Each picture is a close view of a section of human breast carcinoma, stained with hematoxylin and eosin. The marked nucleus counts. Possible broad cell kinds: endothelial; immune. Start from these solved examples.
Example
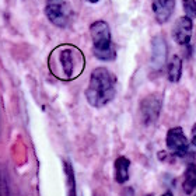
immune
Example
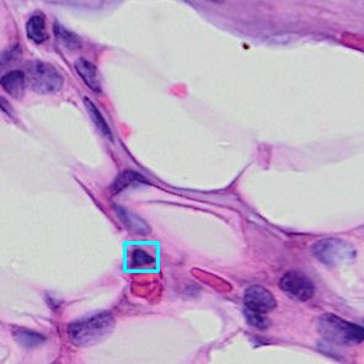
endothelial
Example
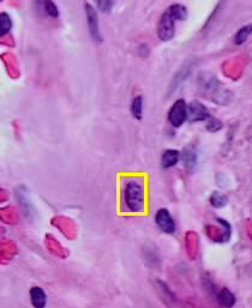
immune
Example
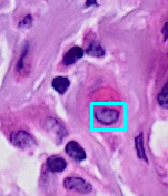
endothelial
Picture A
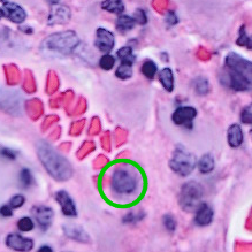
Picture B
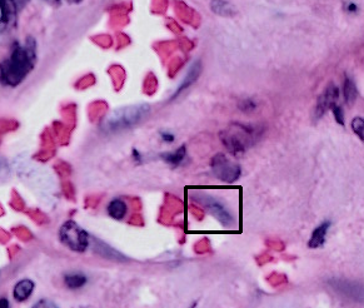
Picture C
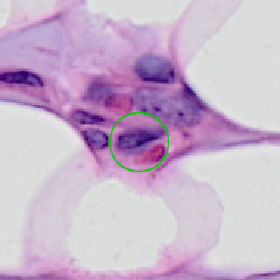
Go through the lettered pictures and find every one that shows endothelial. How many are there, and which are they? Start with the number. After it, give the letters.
Count: 3 (A, B, C)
